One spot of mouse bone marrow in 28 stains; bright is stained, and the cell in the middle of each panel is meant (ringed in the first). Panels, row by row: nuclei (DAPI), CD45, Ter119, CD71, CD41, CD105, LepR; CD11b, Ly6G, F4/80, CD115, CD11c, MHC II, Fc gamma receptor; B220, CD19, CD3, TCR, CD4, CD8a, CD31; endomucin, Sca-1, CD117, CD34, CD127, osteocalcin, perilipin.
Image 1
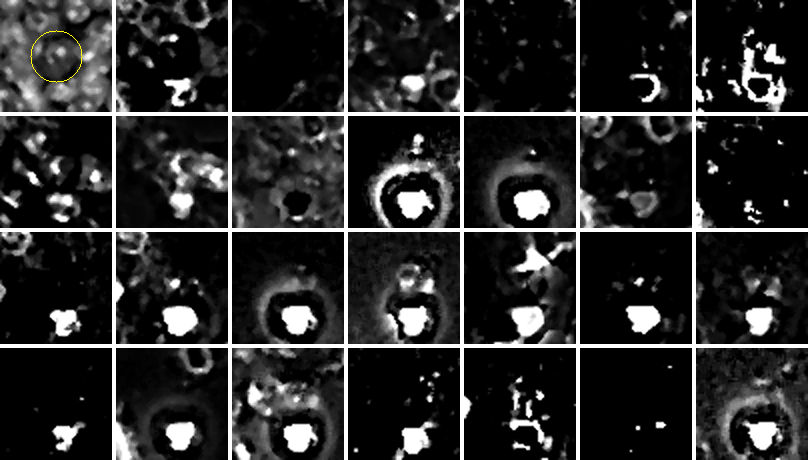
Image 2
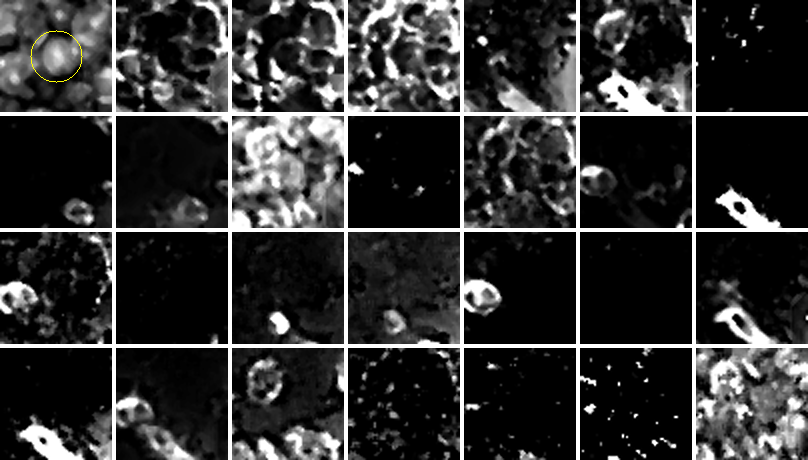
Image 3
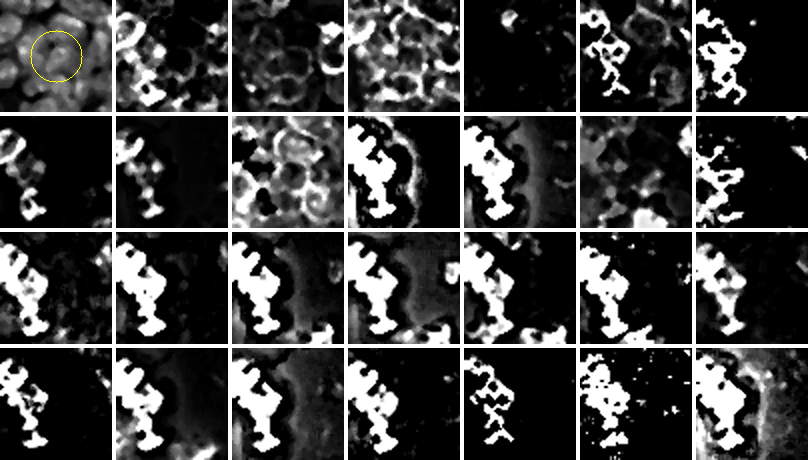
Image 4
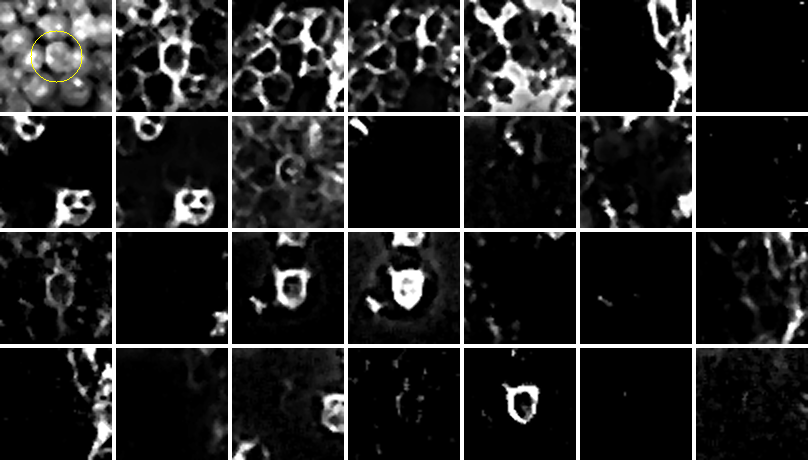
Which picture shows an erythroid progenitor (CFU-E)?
Picture 3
